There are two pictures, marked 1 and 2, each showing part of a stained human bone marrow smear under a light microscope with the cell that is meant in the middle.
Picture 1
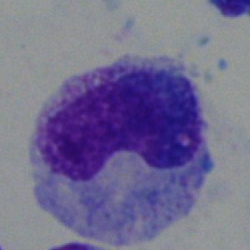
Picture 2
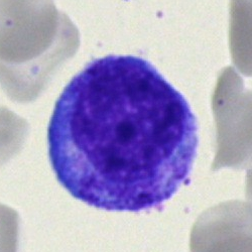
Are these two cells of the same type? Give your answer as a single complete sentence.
No, the types are not the same, since picture 1 shows a monocyte and picture 2 a promyelocyte.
